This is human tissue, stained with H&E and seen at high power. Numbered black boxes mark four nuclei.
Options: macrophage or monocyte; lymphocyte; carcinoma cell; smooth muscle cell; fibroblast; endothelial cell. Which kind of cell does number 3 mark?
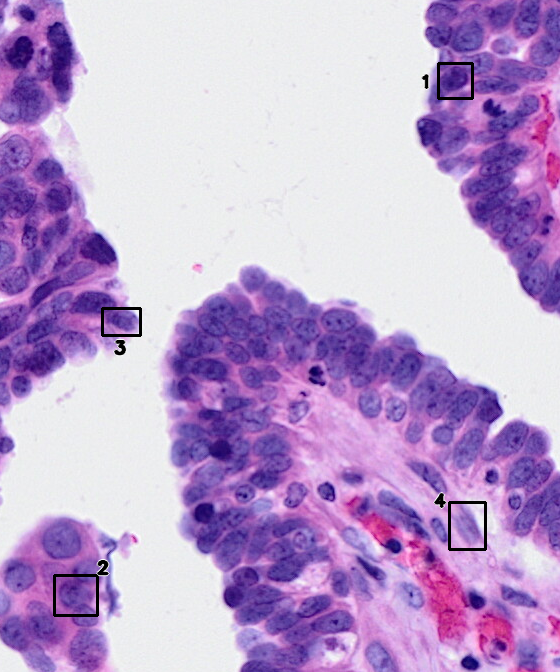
carcinoma cell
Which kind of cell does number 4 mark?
fibroblast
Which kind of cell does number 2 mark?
carcinoma cell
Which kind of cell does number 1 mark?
carcinoma cell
